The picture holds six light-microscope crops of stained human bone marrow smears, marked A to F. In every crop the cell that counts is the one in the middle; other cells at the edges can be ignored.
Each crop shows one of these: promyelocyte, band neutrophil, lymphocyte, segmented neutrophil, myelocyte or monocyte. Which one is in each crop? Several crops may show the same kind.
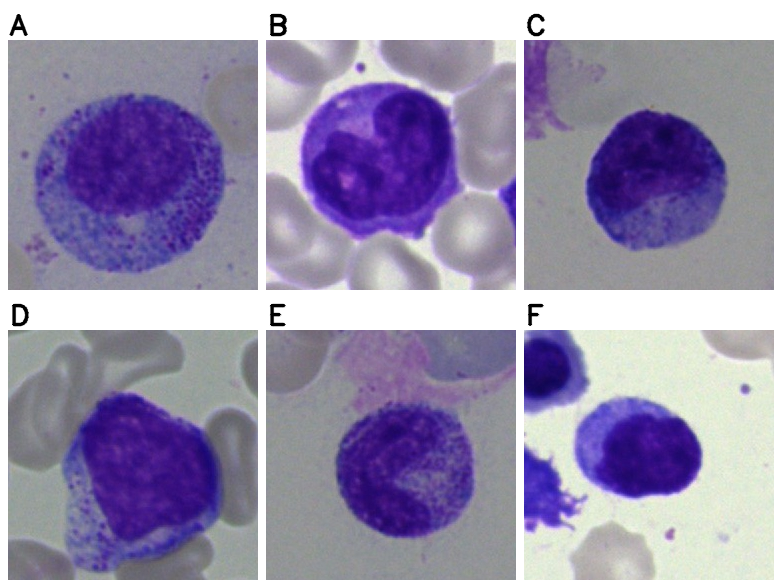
A: promyelocyte
B: monocyte
C: promyelocyte
D: myelocyte
E: band neutrophil
F: lymphocyte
